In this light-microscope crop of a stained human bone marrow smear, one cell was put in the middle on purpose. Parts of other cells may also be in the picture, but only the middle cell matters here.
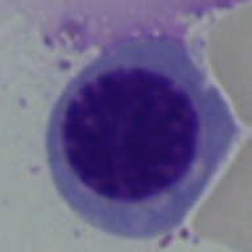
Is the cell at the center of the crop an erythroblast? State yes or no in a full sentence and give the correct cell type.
Yes, the cell at the middle is an erythroblast.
